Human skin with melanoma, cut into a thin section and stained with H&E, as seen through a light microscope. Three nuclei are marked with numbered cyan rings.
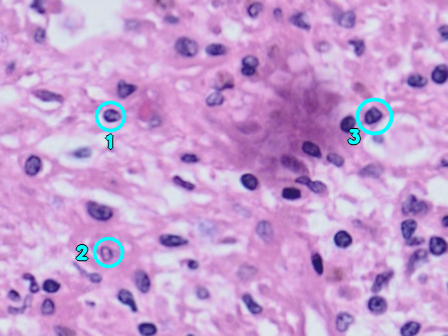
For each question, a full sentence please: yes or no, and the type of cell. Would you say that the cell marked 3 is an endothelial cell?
No, the cell at number 3 is a lymphocyte instead of an endothelial cell.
